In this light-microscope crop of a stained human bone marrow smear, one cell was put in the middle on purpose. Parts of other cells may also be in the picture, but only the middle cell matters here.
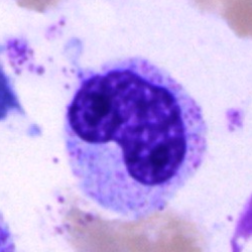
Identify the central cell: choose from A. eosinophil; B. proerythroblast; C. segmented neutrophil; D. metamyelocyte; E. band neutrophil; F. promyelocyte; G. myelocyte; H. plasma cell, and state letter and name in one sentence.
Option D, which names the central cell as a metamyelocyte, is correct.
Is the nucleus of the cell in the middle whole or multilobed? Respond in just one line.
Worth pointing out that its nucleus is one compact mass, round, oval or reniform.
